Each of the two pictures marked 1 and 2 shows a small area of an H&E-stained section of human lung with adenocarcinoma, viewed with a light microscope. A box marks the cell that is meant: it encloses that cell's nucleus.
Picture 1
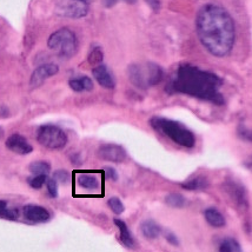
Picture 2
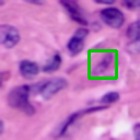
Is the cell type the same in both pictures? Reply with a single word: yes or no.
no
